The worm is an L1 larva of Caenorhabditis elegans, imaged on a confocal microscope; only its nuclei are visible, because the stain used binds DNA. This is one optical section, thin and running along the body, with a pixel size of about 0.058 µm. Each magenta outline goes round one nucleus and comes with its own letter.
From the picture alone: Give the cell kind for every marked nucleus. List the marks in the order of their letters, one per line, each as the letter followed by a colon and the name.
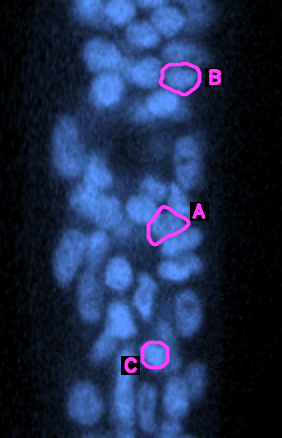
A: neuron
B: neuron
C: pharyngeal muscle cell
